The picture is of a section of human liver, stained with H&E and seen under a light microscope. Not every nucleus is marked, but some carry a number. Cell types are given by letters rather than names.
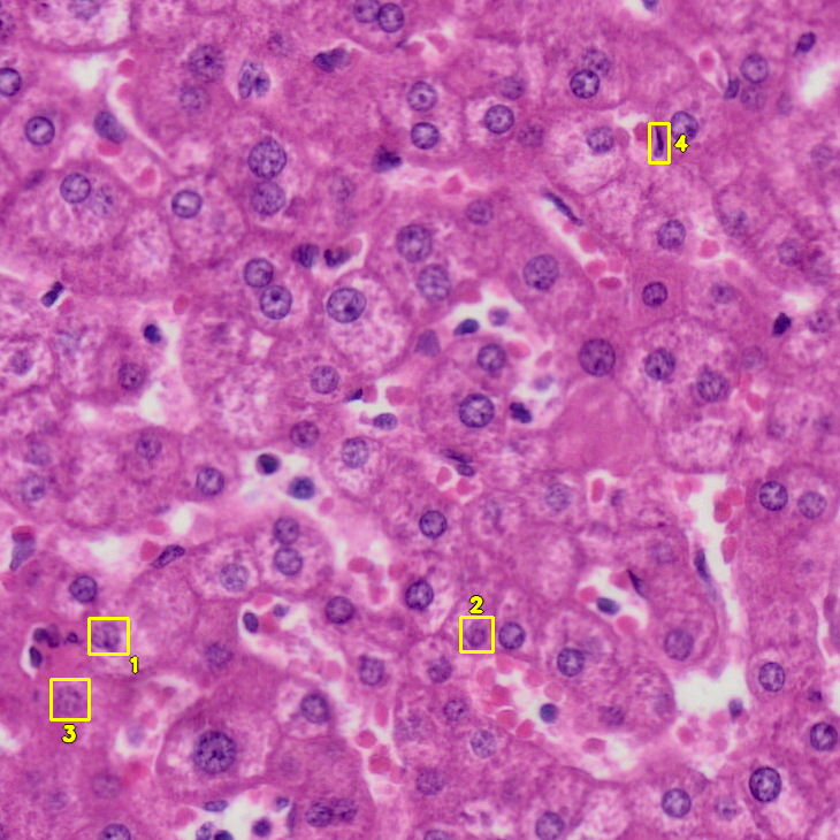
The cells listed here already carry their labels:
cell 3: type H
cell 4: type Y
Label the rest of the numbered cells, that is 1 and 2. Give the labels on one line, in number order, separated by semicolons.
type H; type H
